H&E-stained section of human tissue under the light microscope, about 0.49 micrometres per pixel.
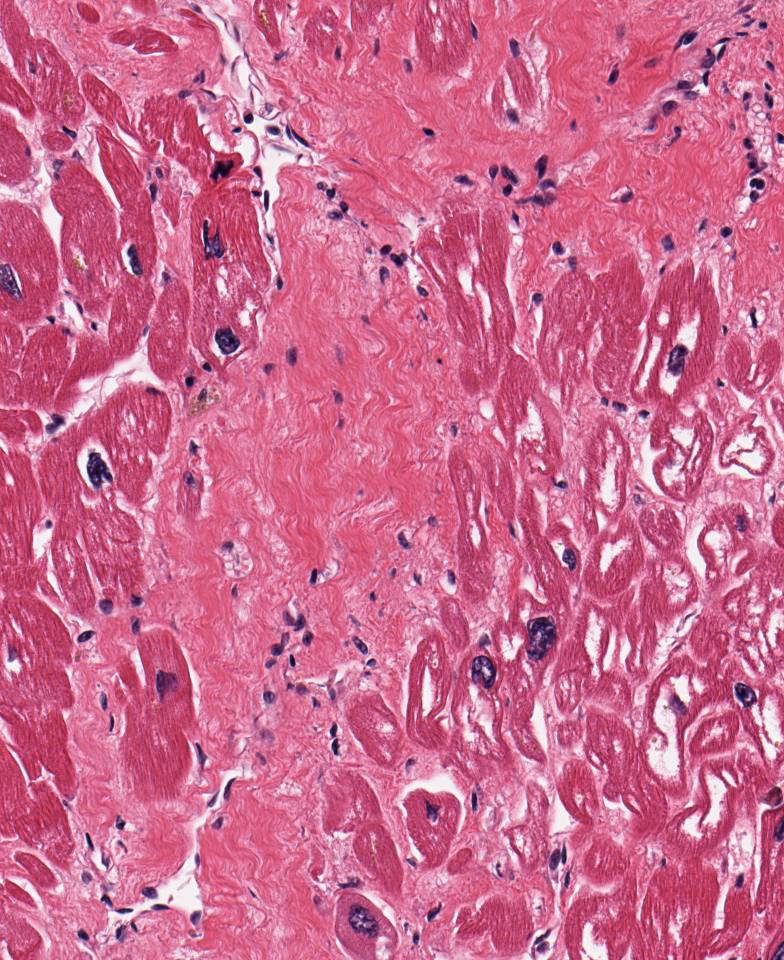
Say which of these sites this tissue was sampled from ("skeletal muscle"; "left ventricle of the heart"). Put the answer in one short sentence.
The site this tissue was sampled from is the left ventricle of the heart.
